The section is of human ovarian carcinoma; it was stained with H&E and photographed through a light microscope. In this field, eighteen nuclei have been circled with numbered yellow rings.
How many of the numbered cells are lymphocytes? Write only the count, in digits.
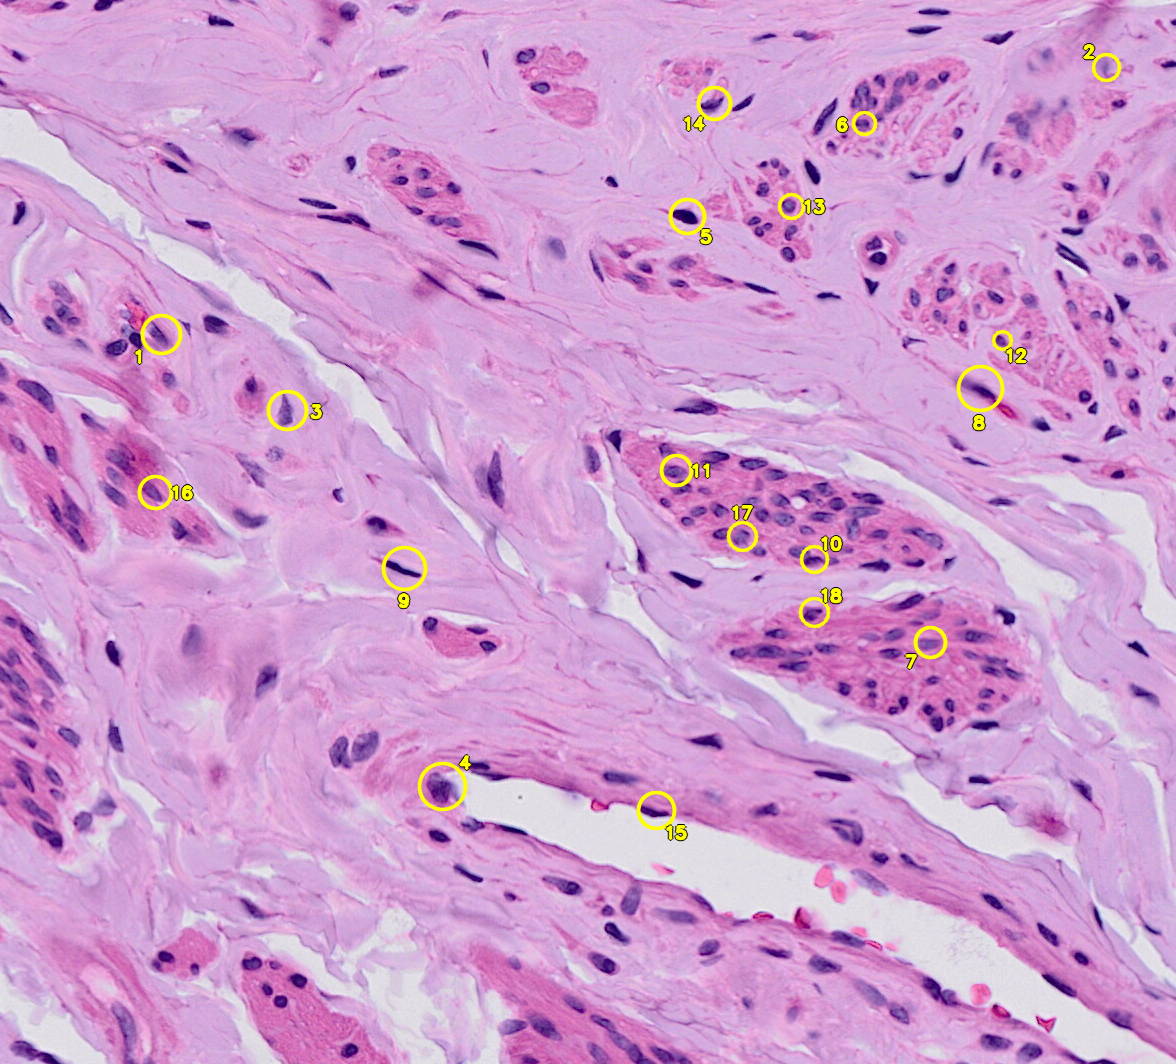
1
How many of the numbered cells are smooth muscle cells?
10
